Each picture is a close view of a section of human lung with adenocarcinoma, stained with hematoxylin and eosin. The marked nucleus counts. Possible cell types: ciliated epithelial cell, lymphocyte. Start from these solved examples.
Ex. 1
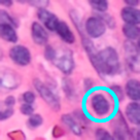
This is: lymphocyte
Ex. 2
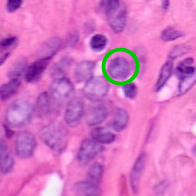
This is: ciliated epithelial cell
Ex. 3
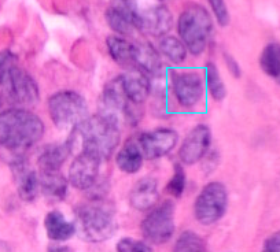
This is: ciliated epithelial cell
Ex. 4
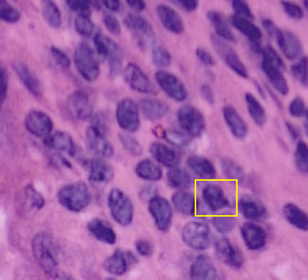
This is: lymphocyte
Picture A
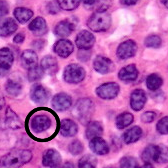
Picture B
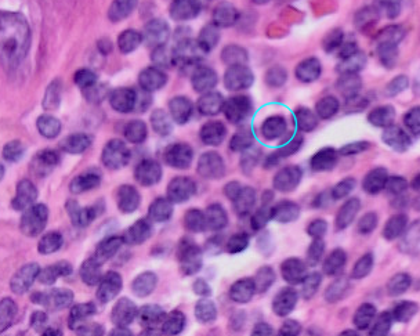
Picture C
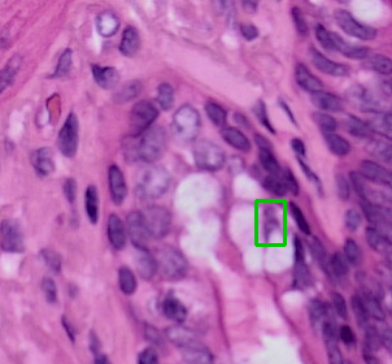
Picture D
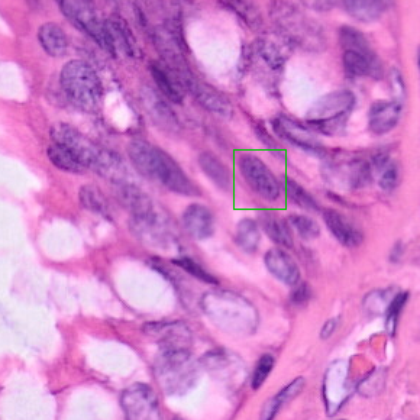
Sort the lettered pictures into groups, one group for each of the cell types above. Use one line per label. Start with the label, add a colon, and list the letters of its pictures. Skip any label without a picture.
ciliated epithelial cell: C, D
lymphocyte: A, B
